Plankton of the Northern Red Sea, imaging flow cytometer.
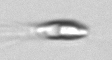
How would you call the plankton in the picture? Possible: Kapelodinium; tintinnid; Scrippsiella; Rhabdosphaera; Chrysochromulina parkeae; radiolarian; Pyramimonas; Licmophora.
I would call it Chrysochromulina parkeae.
